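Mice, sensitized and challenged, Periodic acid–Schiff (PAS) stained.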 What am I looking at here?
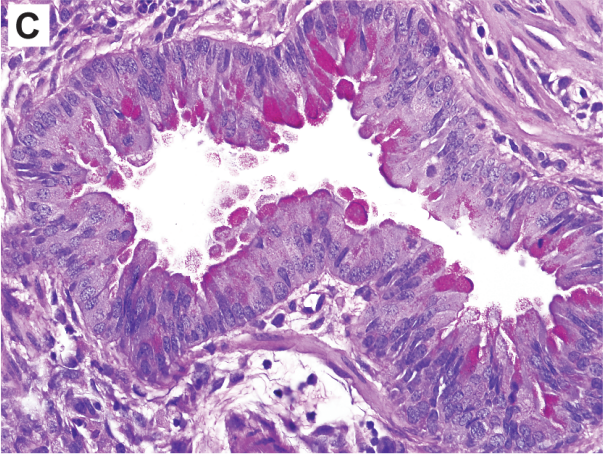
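An airway of the lung is cut lengthwise, its lumen lined by a tall, folded columnar epithelium with crowded oval nuclei stained purple. Magenta droplets and mucus are also released into the irregular lumen. Beneath the epithelium lies a band of pale connective tissue and smooth muscle. The abundance of goblet cells in the lining points to goblet cell metaplasia.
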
